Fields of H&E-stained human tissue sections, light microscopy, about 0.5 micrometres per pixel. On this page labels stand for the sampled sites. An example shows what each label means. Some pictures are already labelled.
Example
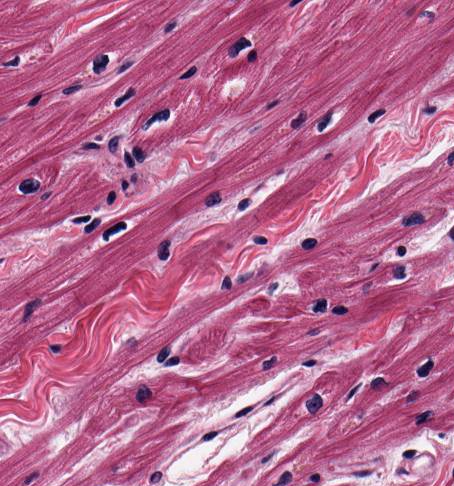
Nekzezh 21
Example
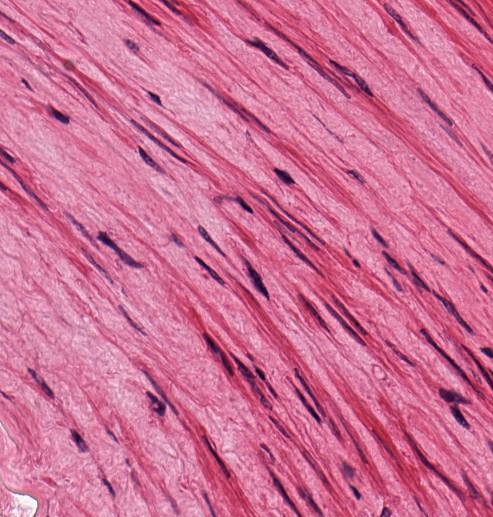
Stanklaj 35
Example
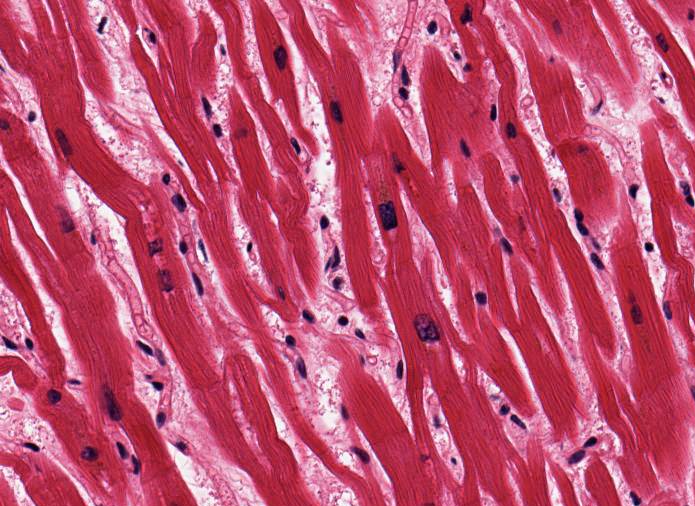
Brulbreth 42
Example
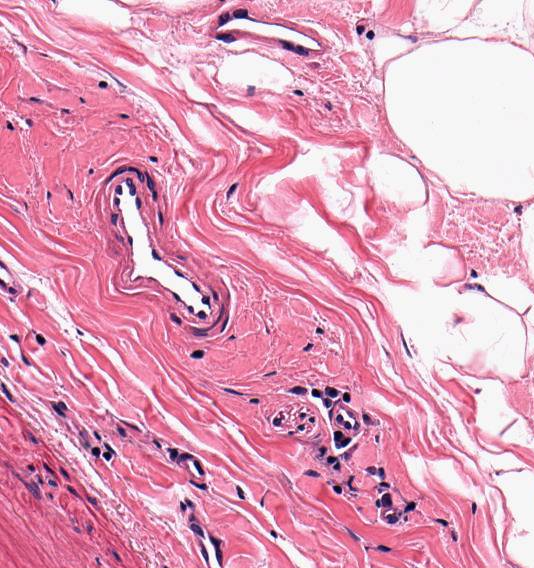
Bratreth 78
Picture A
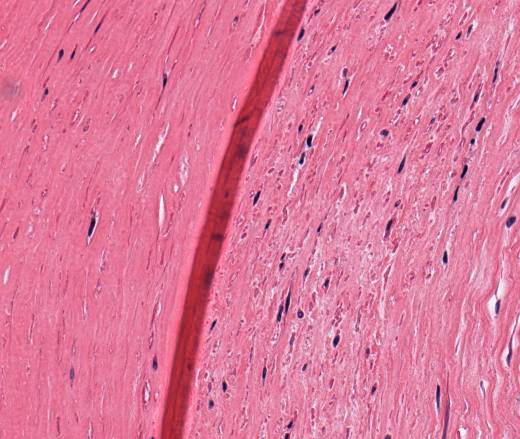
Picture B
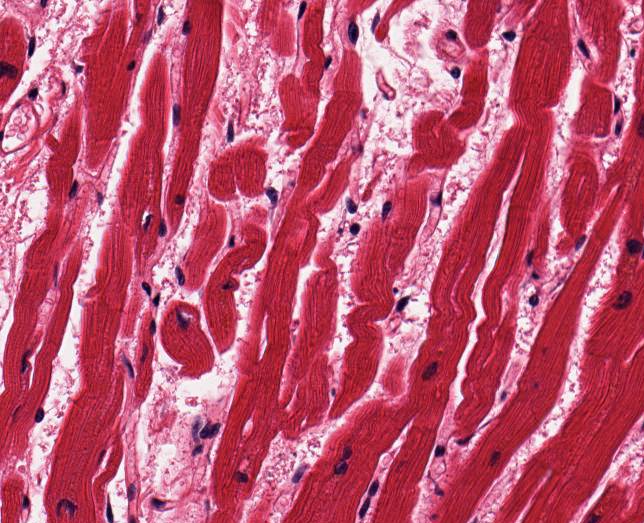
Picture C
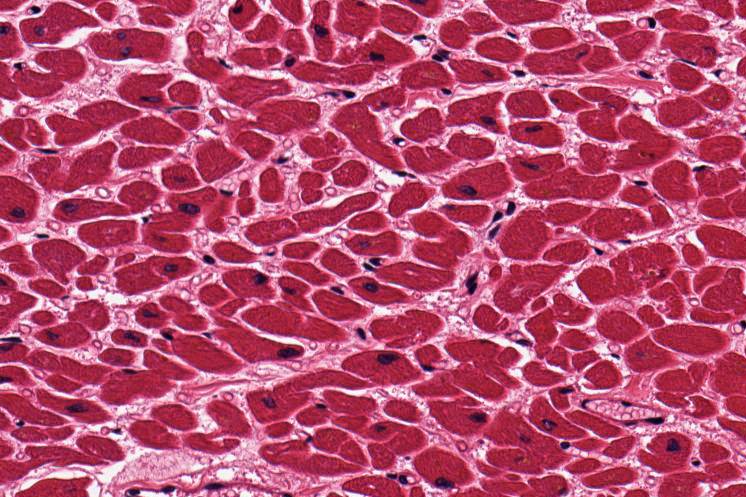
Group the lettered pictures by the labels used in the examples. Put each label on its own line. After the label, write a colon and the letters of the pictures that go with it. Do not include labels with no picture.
Stanklaj 35: A
Brulbreth 42: B, C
